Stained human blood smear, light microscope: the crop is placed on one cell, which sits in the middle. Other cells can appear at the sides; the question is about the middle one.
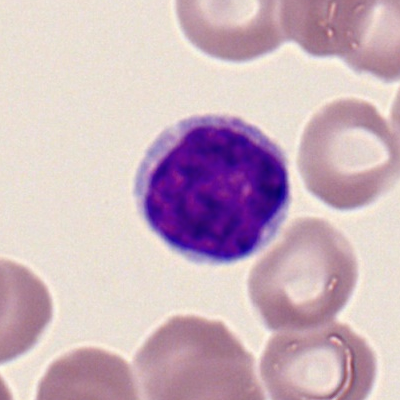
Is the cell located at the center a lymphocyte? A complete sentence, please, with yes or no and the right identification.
Yes, the cell at the middle of the field is to be classed as a lymphocyte.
